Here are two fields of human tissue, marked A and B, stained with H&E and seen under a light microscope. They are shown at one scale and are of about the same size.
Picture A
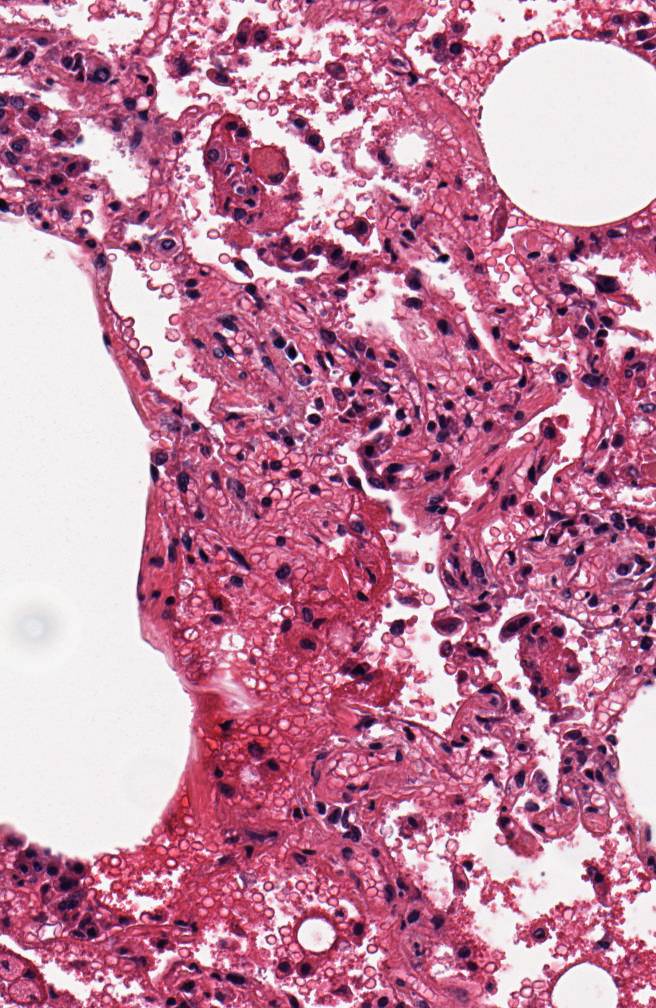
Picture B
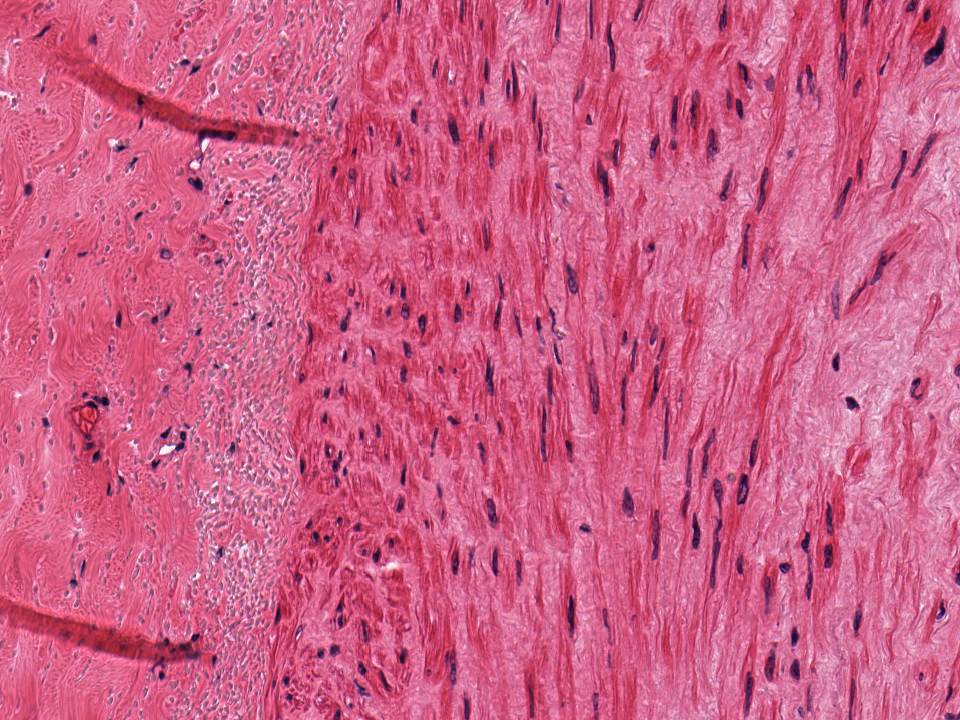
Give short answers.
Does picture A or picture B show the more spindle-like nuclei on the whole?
B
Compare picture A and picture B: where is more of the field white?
A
